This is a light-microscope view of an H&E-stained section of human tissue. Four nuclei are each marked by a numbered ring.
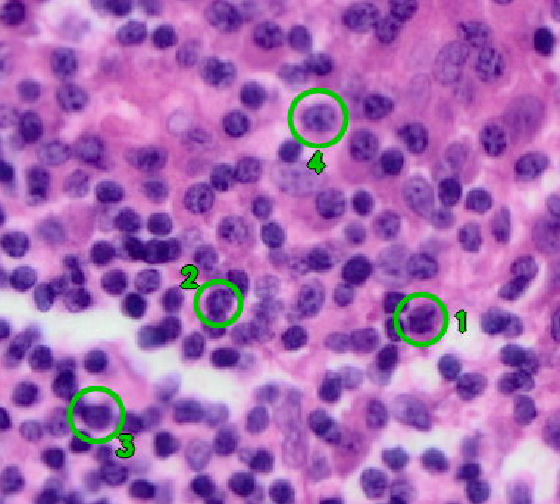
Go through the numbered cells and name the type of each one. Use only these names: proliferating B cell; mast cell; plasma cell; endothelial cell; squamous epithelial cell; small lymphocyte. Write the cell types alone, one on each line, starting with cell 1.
plasma cell
small lymphocyte
small lymphocyte
plasma cell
